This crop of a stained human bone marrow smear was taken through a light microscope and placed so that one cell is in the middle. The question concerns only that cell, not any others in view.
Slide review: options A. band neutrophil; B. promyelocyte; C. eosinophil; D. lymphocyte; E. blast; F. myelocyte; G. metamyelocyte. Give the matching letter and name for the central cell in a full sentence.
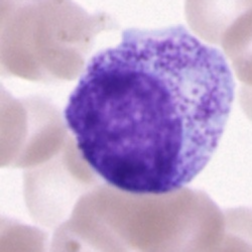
Here the right option is F, as the cell in the middle is a myelocyte.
